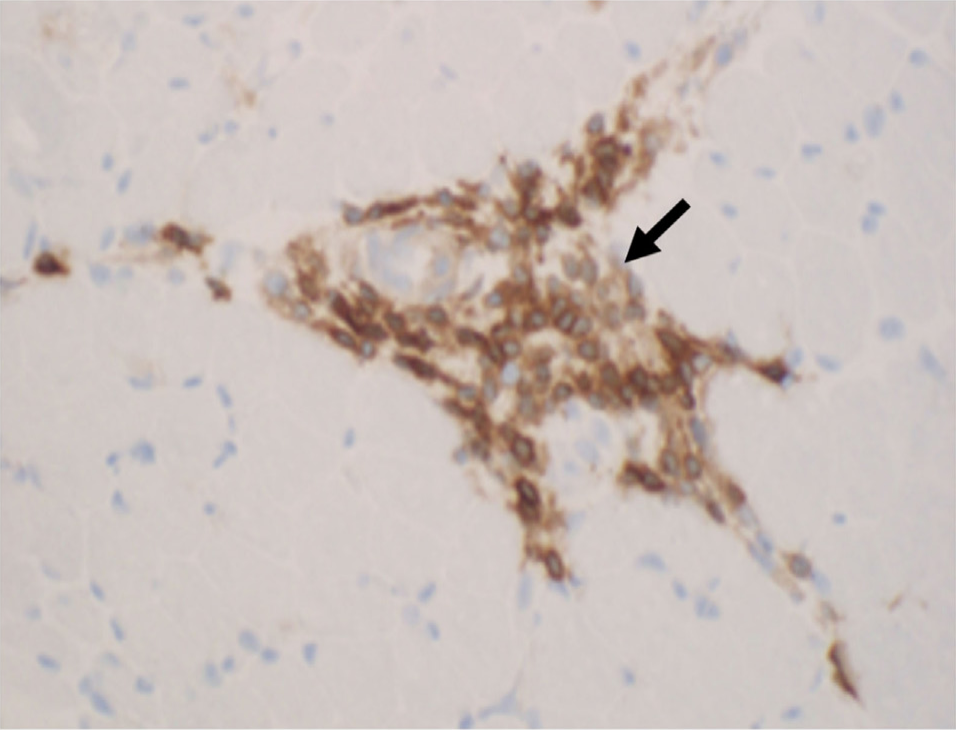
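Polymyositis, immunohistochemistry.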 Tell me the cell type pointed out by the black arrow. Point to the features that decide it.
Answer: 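Inflammatory cells. A dense cluster of small round cells with round nuclei lies between the large pale fibres. The clustered cells are far smaller than the surrounding fibres and crowd together in the spaces between them.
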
